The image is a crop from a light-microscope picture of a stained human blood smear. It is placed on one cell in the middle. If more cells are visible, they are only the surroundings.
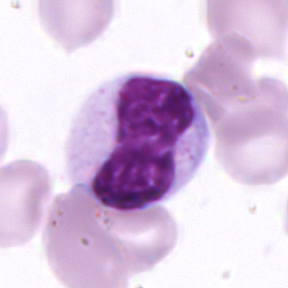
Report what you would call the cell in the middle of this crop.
metamyelocyte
